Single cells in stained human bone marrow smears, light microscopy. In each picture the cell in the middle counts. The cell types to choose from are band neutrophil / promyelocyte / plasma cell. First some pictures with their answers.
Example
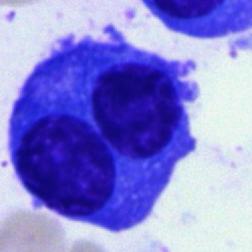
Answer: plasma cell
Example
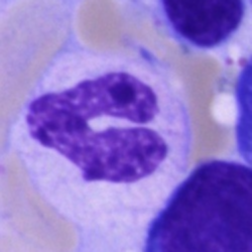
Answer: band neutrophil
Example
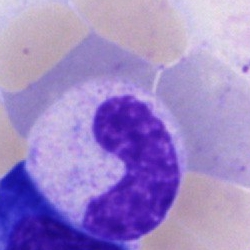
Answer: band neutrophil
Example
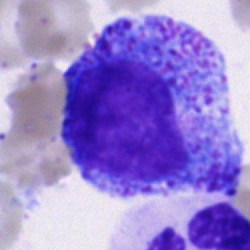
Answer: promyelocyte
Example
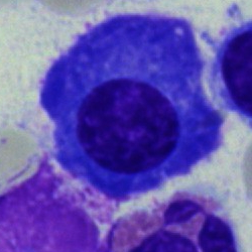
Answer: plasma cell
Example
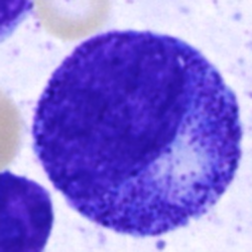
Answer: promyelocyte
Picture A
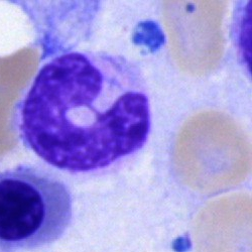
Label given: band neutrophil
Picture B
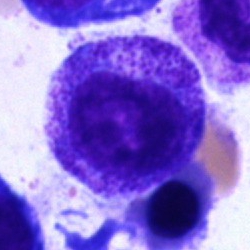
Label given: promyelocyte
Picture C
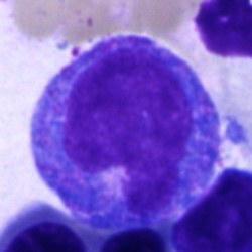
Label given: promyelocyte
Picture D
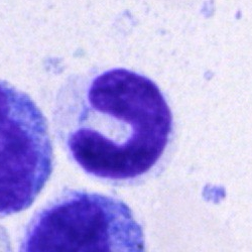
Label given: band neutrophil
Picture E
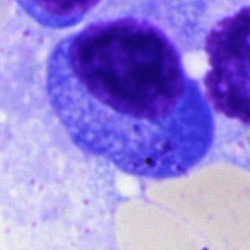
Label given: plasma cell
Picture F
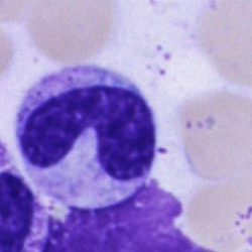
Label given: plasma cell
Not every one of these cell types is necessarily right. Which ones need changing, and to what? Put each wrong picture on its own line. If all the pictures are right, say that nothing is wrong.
F: band neutrophil, not plasma cell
